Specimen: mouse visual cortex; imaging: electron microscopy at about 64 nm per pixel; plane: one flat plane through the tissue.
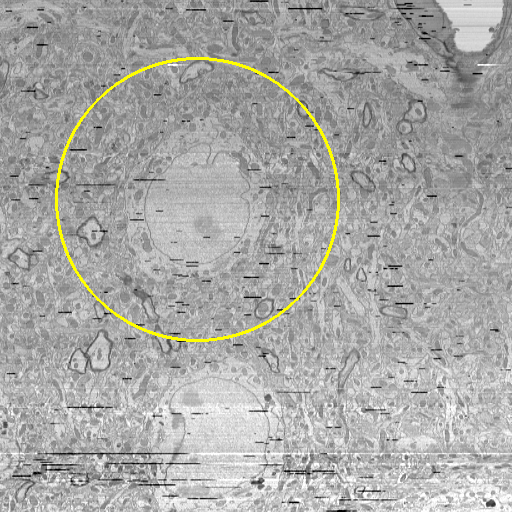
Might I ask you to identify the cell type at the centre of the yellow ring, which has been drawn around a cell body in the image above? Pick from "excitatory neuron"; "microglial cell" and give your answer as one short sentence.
The centre of the ring falls on an excitatory neuron.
